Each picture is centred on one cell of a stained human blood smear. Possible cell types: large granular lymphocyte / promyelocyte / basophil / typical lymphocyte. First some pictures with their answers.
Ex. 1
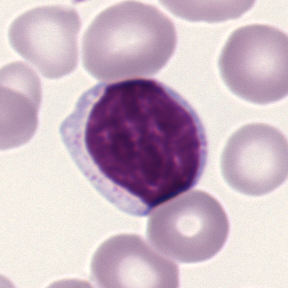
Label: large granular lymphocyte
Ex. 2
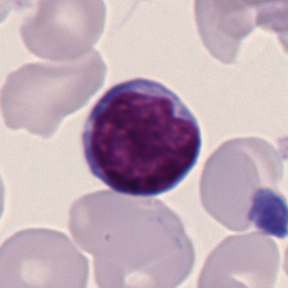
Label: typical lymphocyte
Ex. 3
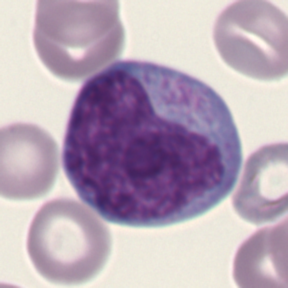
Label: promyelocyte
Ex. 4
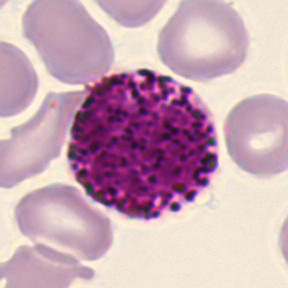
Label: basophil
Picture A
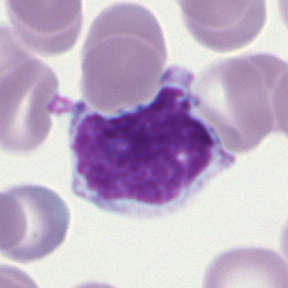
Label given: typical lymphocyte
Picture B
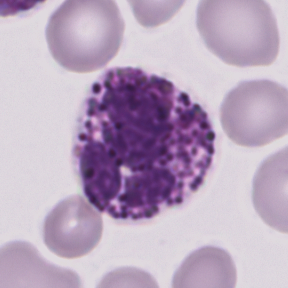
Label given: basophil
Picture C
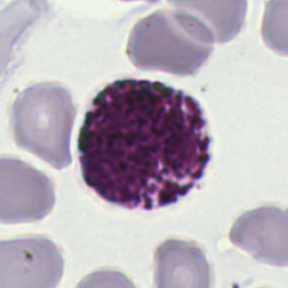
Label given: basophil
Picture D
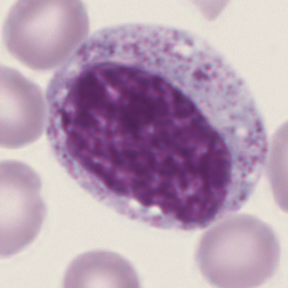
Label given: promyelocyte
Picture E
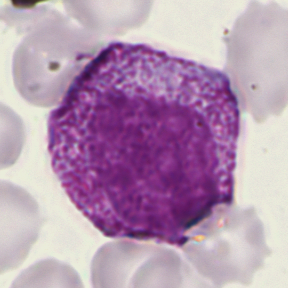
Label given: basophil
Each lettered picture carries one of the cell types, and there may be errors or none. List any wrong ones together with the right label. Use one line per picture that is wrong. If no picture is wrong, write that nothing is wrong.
E: promyelocyte, not basophil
